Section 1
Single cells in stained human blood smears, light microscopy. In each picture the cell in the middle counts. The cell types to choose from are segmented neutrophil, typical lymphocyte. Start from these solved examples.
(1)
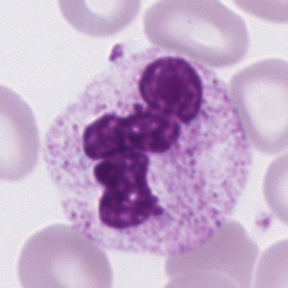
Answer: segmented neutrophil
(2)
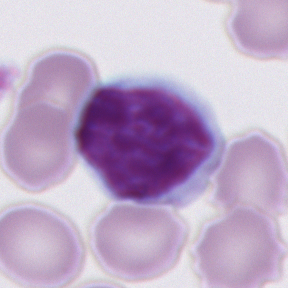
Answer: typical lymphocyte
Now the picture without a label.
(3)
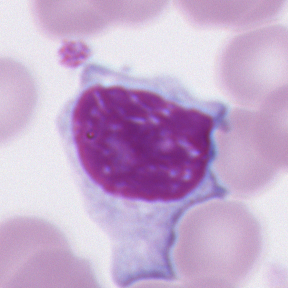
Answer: typical lymphocyte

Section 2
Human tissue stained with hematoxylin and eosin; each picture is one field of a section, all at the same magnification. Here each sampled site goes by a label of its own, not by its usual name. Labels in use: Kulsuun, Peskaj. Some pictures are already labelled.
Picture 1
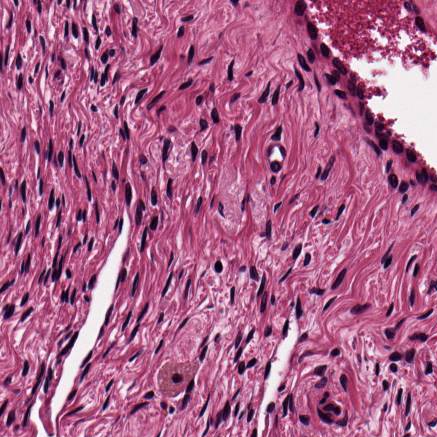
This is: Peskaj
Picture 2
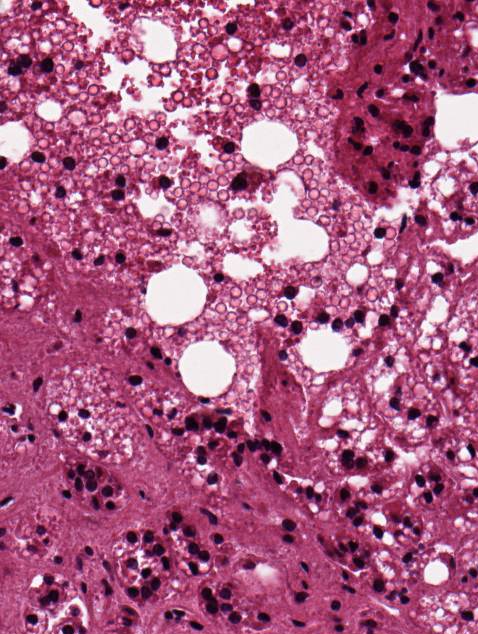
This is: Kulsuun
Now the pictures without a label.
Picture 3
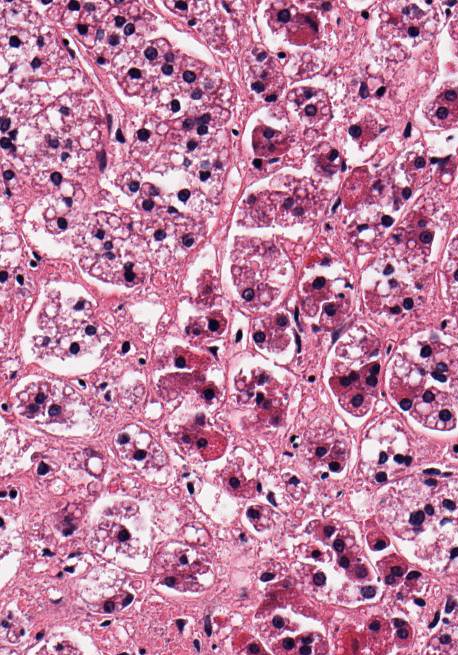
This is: Kulsuun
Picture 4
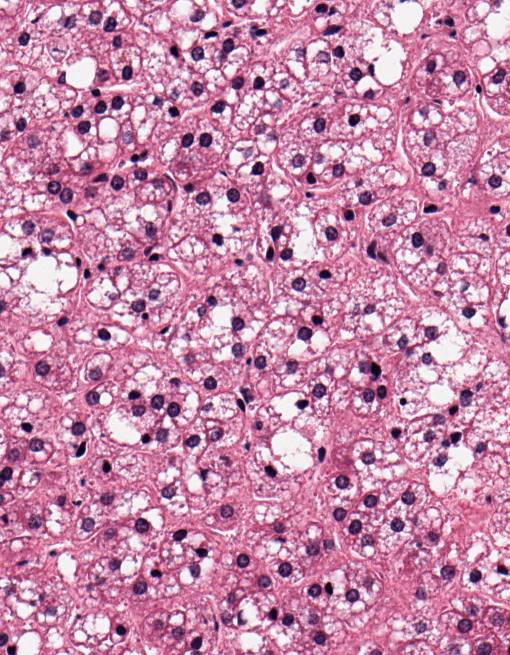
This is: Kulsuun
